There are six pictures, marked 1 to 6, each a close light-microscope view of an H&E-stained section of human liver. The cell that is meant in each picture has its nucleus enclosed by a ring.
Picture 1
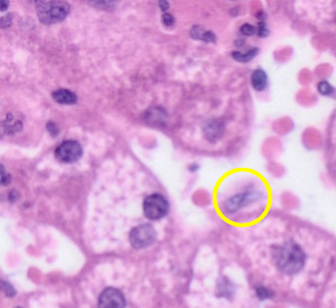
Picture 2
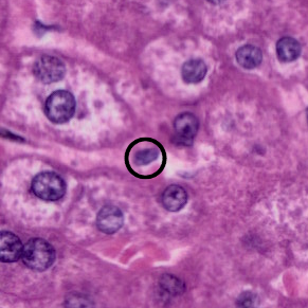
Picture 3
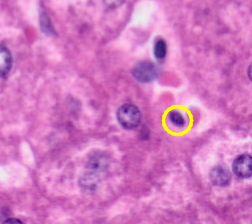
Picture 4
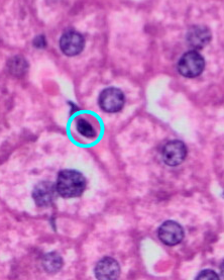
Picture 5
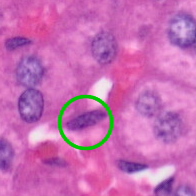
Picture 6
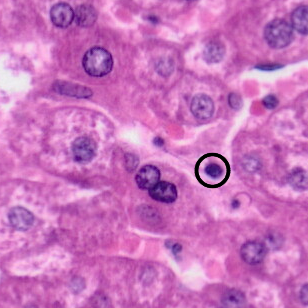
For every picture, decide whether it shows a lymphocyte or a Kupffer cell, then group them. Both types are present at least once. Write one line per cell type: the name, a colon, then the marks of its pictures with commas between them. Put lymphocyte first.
lymphocyte: 2, 3, 4, 6
Kupffer cell: 1, 5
